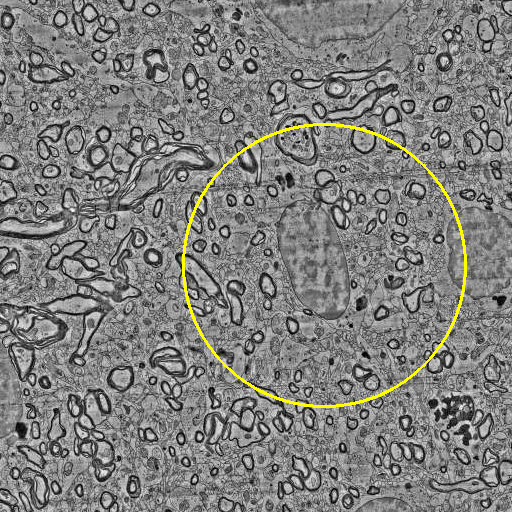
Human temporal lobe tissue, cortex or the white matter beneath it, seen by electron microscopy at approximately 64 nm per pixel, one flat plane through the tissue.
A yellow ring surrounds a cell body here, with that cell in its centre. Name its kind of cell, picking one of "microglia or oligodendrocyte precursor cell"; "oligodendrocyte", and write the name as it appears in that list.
microglia or oligodendrocyte precursor cell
